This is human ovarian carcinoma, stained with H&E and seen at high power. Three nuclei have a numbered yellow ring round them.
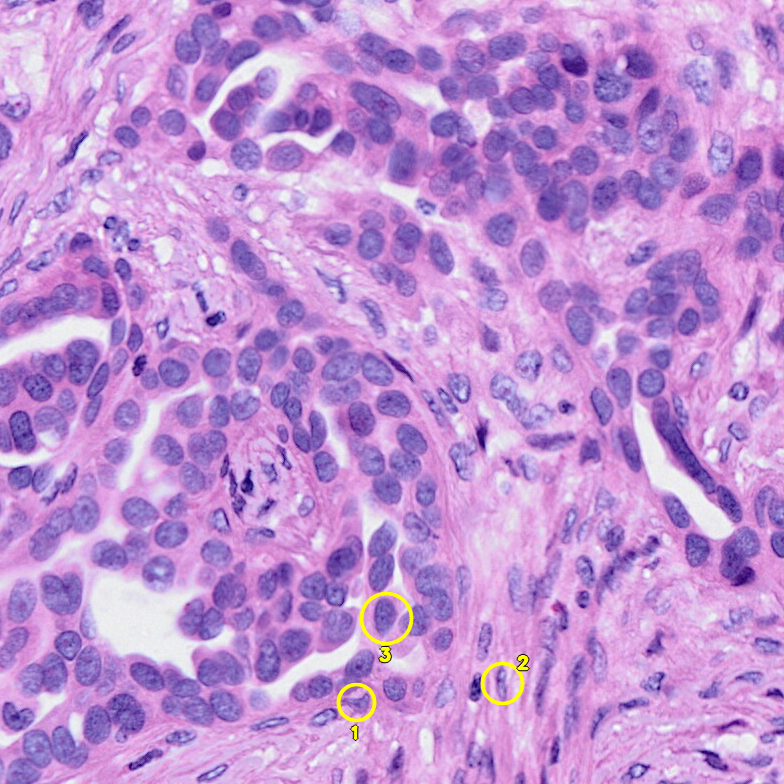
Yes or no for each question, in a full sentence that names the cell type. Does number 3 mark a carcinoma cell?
Yes, cell 3 is a carcinoma cell in this tissue section.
